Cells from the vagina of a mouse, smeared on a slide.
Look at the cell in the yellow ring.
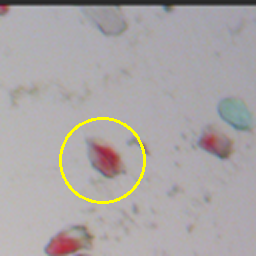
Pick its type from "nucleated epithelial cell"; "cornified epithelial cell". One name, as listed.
nucleated epithelial cell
